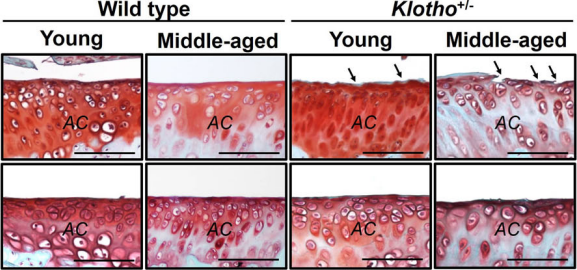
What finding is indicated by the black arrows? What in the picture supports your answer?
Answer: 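The black arrows point at the upper edge of the cartilage in two of the upper-row images. Where the arrows point, the surface is uneven and not smooth. The arrowed surface zone stains paler or bluish rather than the deep red seen elsewhere. The answer: cartilage surface disruption.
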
